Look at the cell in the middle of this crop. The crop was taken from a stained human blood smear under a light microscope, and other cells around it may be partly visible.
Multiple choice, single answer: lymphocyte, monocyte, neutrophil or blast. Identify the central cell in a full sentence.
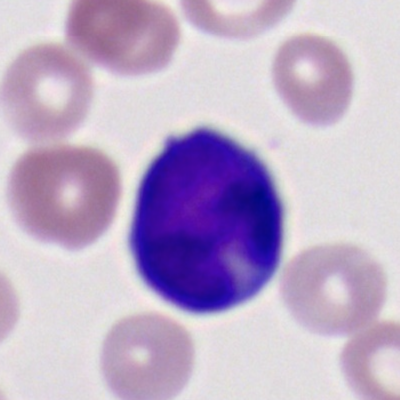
The crop centres on a single cell, and that cell is a blast.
